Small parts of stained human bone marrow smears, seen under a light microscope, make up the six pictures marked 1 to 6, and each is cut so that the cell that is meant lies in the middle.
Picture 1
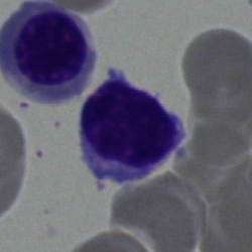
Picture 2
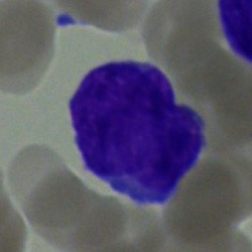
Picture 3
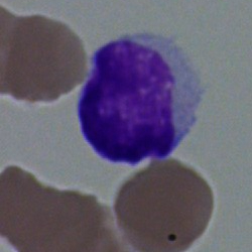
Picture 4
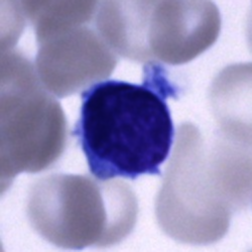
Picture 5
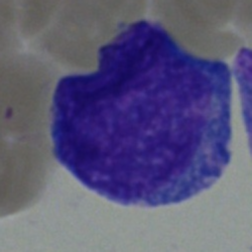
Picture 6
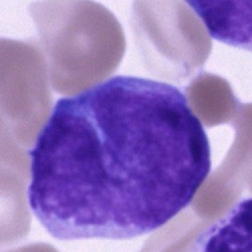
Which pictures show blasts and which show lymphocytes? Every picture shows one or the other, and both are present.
1: lymphocyte
2: blast
3: lymphocyte
4: lymphocyte
5: blast
6: blast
